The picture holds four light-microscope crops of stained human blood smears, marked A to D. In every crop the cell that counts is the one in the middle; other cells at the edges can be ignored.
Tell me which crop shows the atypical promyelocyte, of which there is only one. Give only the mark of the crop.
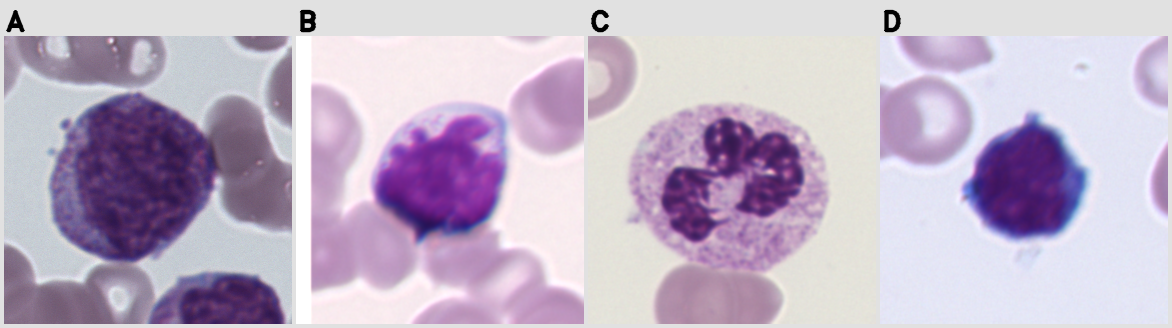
A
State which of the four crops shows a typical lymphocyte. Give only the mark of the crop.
D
